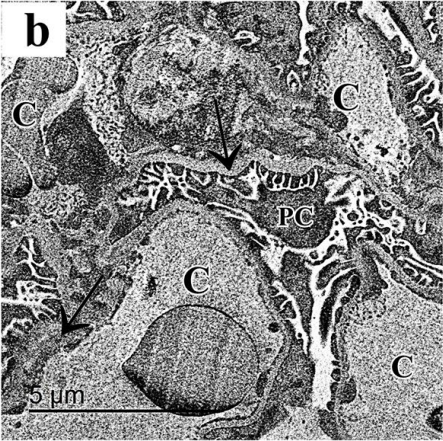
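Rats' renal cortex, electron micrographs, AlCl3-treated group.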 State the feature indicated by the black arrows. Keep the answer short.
Glomerular basement membrane.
